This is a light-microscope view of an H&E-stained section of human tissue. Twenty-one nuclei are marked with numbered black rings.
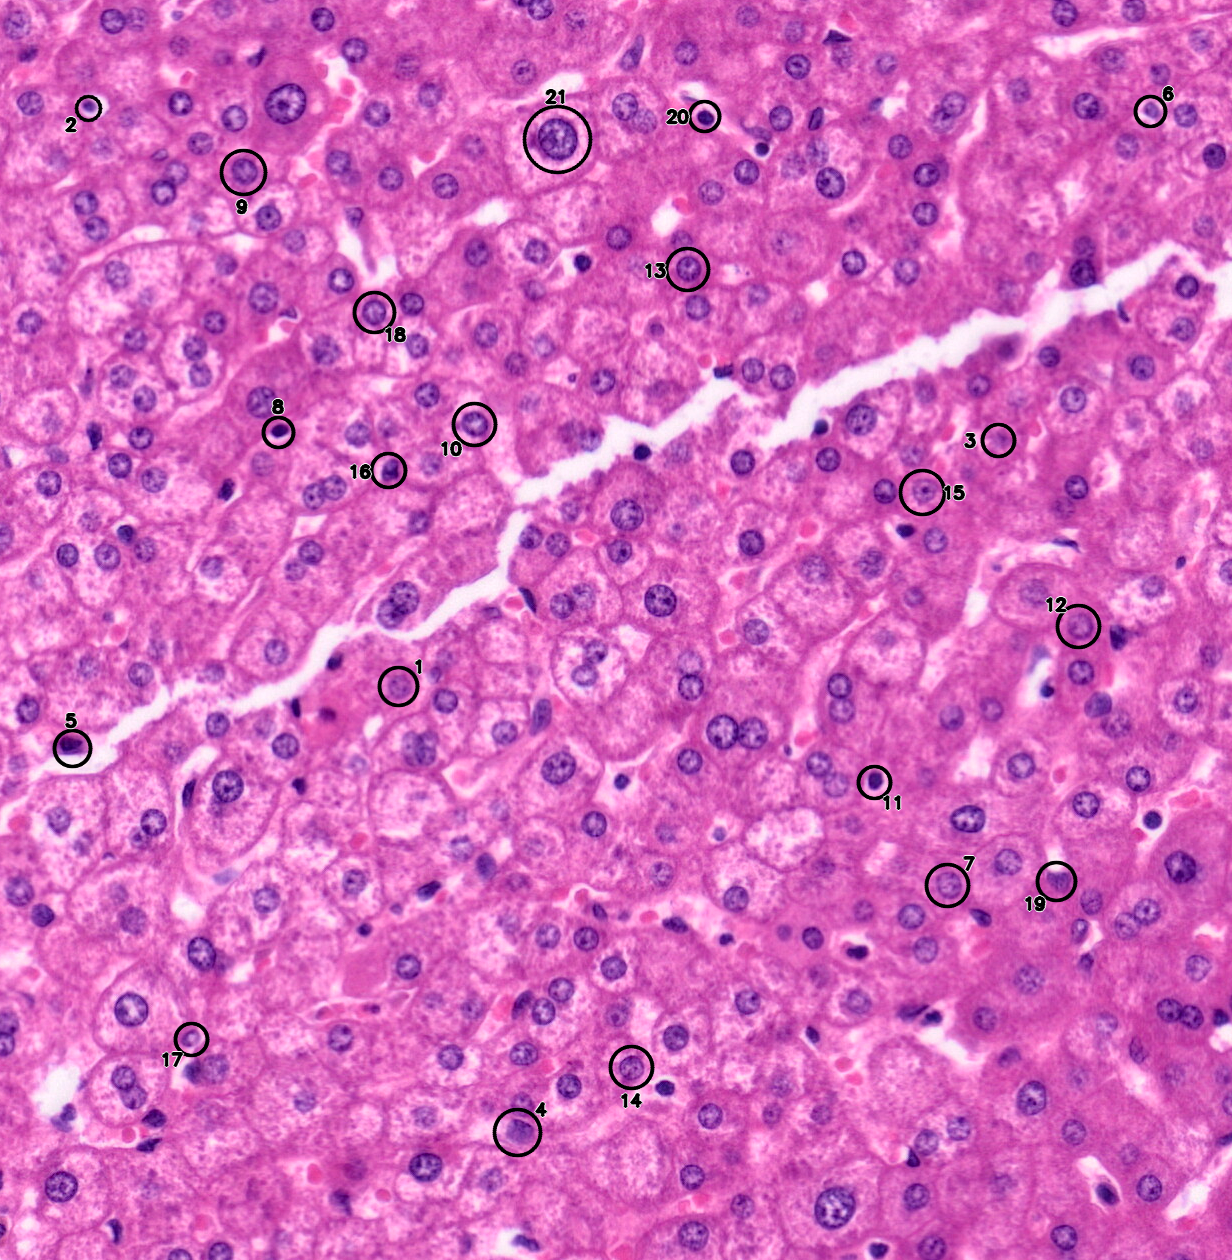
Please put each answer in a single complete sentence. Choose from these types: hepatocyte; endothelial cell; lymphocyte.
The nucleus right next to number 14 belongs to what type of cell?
The nucleus nearest to number 14 is that of a lymphocyte.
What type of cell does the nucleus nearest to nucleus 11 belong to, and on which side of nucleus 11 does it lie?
A hepatocyte lies closest, to the left of nucleus 11.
